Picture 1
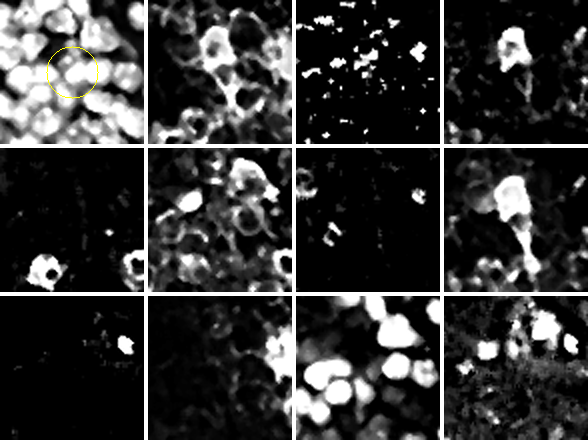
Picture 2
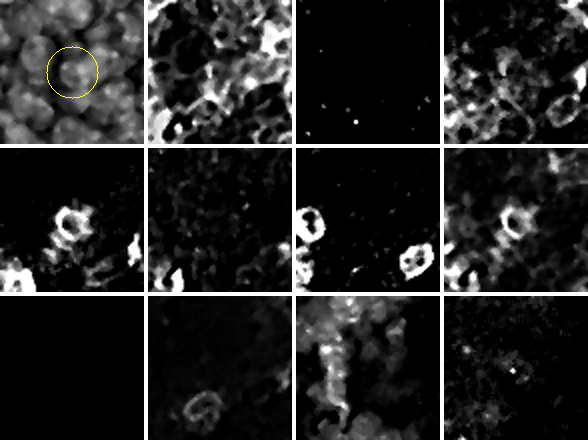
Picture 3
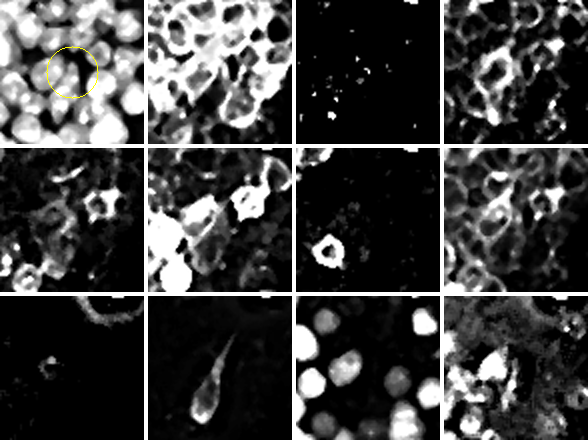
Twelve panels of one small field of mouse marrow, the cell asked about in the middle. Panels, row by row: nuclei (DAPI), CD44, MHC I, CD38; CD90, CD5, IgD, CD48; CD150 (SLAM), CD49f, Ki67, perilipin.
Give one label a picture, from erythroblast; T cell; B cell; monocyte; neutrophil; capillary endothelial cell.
Picture 1: monocyte
Picture 2: T cell
Picture 3: capillary endothelial cell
